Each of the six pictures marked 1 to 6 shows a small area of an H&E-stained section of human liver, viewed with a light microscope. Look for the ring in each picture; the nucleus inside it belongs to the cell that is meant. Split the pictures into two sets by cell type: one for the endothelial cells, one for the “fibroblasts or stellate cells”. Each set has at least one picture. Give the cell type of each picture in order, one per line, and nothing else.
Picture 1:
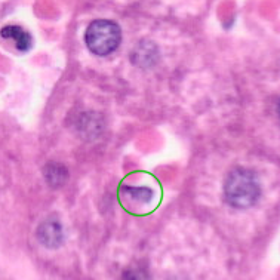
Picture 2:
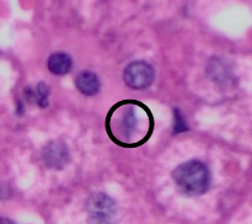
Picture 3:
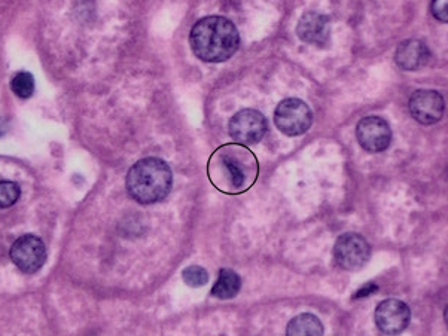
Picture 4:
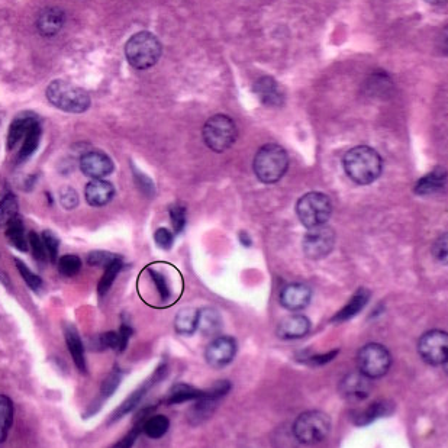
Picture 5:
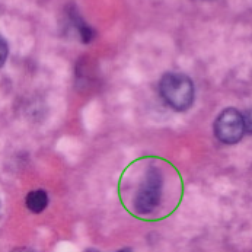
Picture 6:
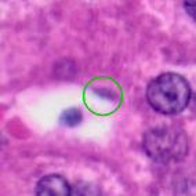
endothelial cell
endothelial cell
endothelial cell
fibroblast or stellate cell
fibroblast or stellate cell
endothelial cell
